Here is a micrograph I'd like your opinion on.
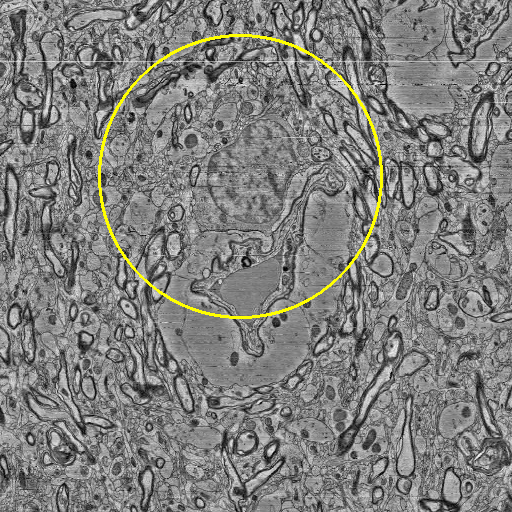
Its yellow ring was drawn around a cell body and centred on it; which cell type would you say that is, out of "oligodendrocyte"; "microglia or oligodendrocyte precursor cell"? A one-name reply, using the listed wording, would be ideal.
oligodendrocyte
